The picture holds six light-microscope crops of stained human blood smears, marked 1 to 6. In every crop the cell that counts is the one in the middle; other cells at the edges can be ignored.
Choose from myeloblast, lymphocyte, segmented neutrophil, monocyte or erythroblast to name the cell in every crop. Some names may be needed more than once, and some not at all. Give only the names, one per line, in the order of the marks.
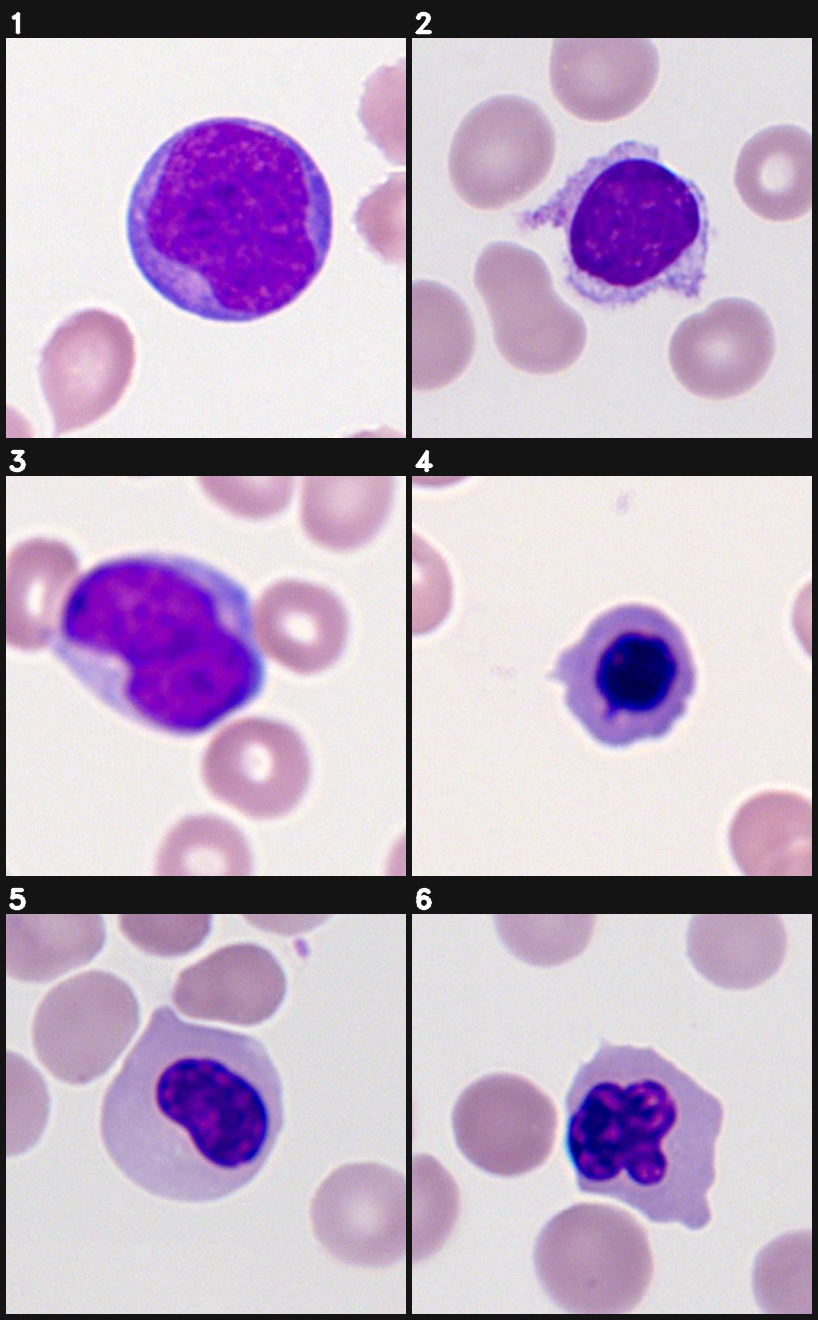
myeloblast
lymphocyte
myeloblast
erythroblast
erythroblast
erythroblast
